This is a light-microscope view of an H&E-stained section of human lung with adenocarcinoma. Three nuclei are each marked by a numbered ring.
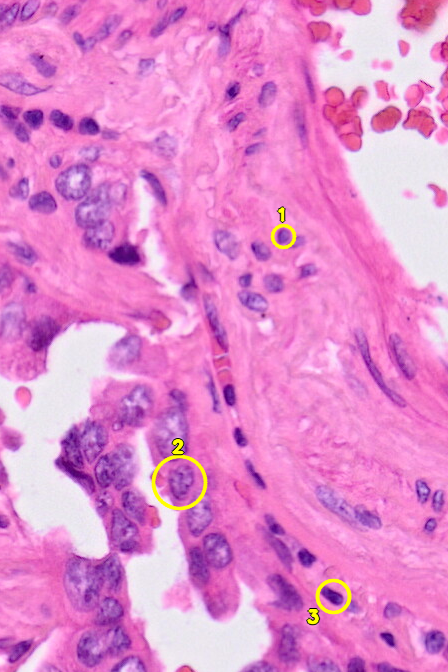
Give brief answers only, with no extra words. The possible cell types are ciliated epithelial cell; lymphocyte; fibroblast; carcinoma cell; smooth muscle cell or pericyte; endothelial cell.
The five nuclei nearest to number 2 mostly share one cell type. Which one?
carcinoma cell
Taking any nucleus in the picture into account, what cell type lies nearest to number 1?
smooth muscle cell or pericyte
